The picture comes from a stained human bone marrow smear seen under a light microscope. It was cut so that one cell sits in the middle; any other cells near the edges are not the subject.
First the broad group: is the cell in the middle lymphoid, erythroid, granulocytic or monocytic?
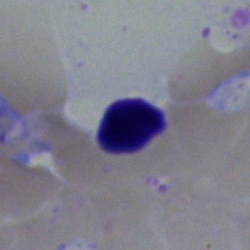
erythroid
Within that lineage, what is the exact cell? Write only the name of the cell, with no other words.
erythroblast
